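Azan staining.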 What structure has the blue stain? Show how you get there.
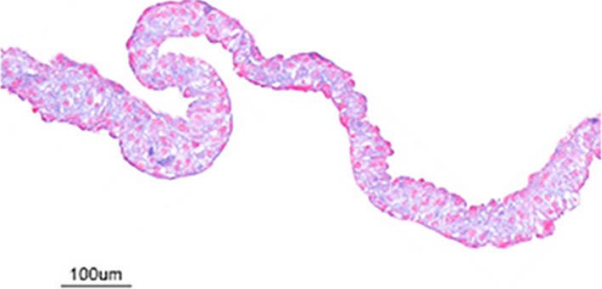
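Blue material fills the spaces between the cells throughout the sheet. Red-stained cells lie scattered within the blue material. So: extracellular matrix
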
